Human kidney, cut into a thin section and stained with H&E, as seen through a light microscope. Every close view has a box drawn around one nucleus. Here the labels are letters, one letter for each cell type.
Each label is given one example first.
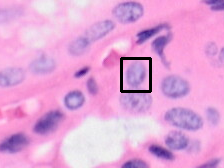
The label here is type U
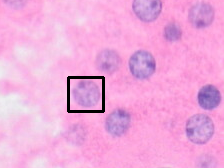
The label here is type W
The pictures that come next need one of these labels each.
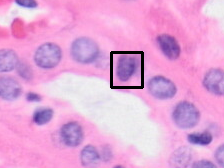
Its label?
type U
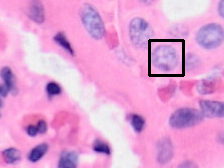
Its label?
type U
